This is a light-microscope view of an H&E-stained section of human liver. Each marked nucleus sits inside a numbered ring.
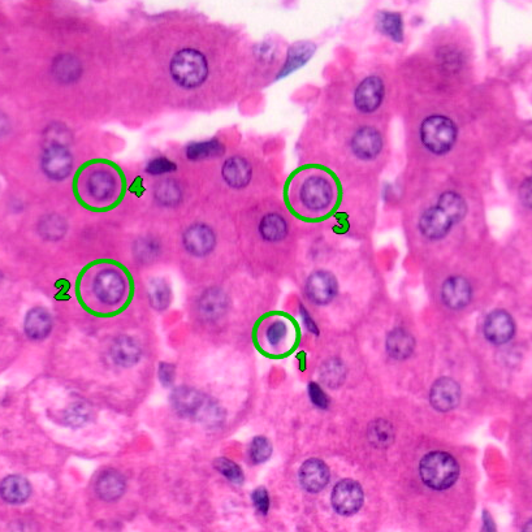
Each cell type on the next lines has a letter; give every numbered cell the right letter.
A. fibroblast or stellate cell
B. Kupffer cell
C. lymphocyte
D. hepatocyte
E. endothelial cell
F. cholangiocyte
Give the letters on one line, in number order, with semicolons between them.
C; D; D; D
